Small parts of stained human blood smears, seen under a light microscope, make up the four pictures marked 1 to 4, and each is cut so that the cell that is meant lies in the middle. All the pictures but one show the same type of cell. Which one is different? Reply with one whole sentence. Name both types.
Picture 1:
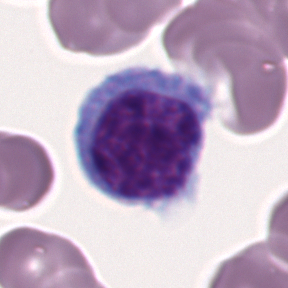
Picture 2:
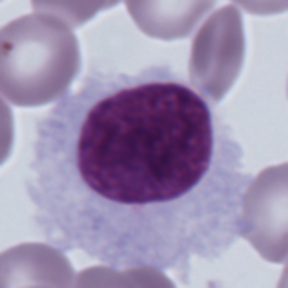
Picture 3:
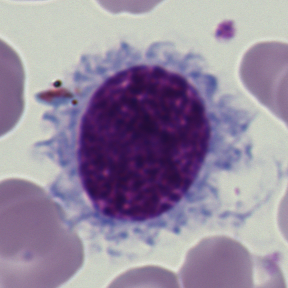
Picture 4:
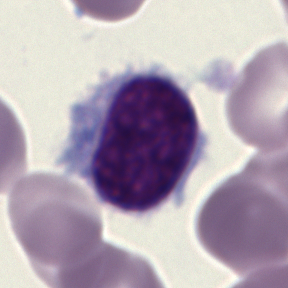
The others show hairy cells, but picture 1 shows a monocyte.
